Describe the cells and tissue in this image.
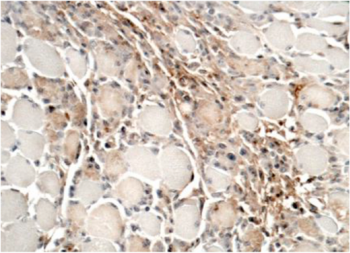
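Pale round muscle fibers in cross-section are separated by bands of small cells with blue nuclei. Brown granular stain sits in many of these small cells, concentrated in the spaces between the fibers, especially in the upper middle of the field.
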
